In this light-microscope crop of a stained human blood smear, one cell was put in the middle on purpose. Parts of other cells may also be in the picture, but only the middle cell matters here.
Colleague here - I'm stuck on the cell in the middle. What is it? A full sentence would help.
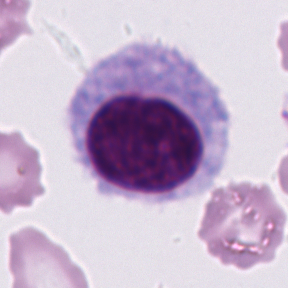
The central cell in this smear crop is a hairy cell.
